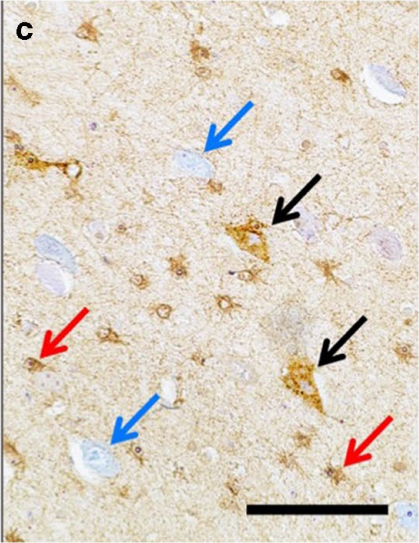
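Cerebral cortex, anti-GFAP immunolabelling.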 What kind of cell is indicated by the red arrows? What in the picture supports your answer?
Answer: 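The marked cells are small with brown bodies and short radiating processes. Many such small star-shaped brown cells are scattered evenly. So: astrocytes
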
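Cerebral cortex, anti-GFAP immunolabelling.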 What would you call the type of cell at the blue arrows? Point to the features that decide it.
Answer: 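Neuronal cell bodies. The marked structures are large pale blue-grey cell bodies without brown stain. They are about the size of the large brown-stained cells.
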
